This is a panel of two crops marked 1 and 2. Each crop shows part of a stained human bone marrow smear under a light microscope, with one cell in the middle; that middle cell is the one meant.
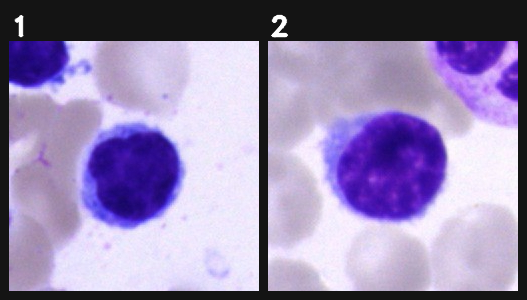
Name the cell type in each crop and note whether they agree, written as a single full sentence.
Yes, both crops show lymphocytes at their middles.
